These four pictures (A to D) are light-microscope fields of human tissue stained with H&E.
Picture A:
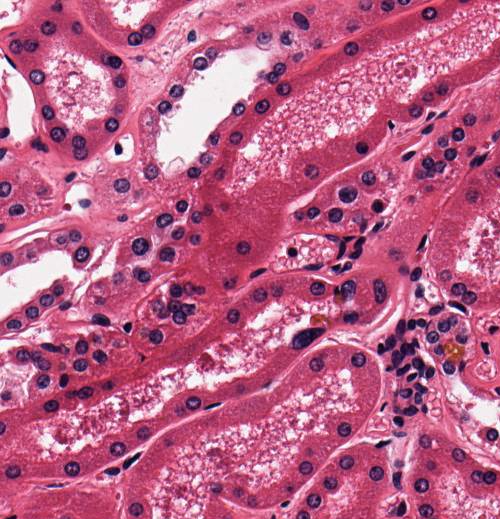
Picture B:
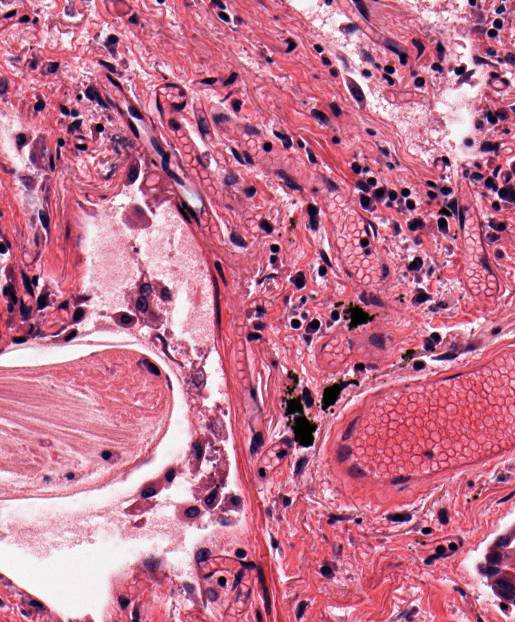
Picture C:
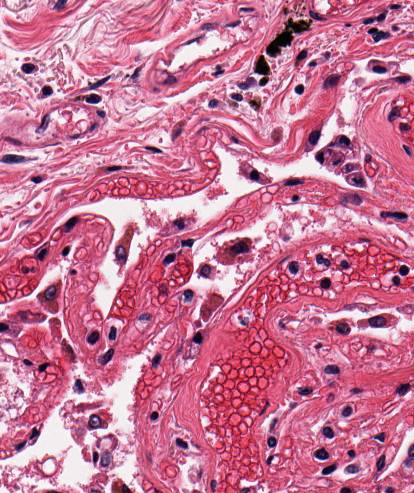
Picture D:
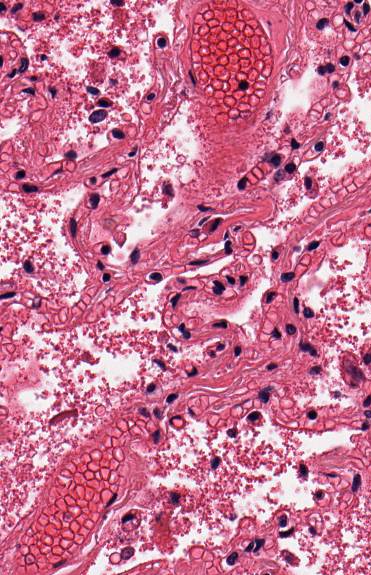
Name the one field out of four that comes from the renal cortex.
A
